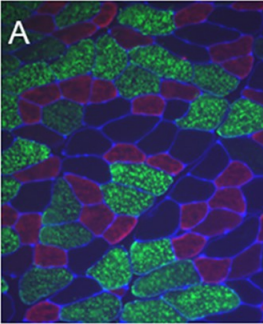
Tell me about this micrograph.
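This is a cross-section of skeletal muscle showing muscle fibers cut transversely. The fibers are polygonal, closely packed, and separated only by thin blue outlines that trace each fiber's border. Fibers fall into three colour groups: some are filled evenly with red, others with a bright, finely speckled green, and many remain dark with no fill. No fiber carries both red and green. The green fibers tend to be among the largest profiles and often lie in clusters, while the red fibers are smaller and scattered between them. The dark fibers are numerous and fill the gaps.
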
